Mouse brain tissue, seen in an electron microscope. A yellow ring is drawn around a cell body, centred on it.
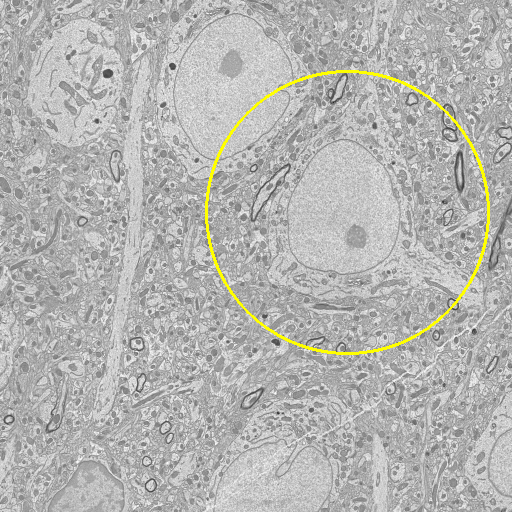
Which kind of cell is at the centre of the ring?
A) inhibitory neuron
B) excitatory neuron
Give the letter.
B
